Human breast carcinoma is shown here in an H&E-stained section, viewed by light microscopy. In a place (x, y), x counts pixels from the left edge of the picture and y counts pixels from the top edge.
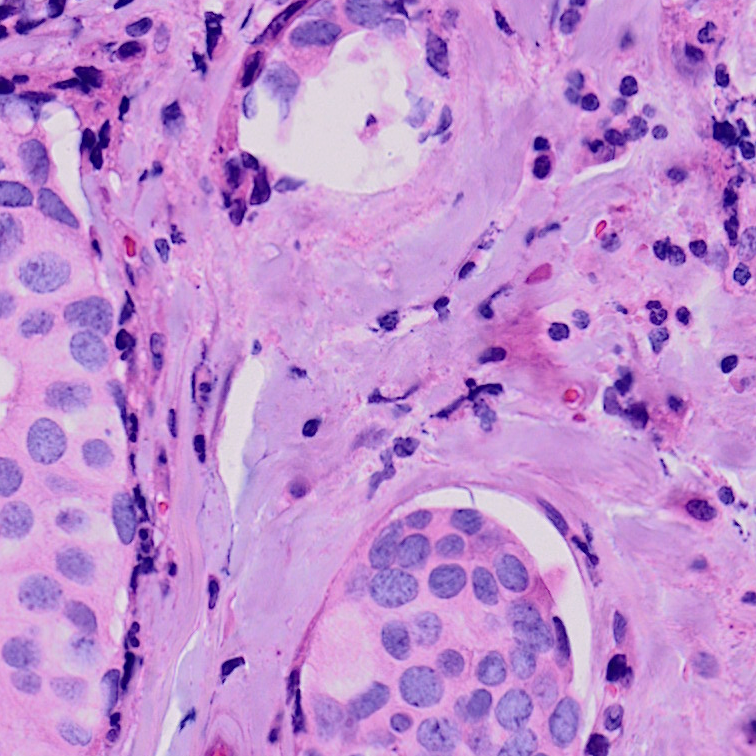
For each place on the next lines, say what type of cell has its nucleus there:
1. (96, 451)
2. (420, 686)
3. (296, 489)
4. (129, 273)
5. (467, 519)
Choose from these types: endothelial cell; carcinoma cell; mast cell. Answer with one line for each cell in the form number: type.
1: carcinoma cell
2: carcinoma cell
3: mast cell
4: endothelial cell
5: carcinoma cell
